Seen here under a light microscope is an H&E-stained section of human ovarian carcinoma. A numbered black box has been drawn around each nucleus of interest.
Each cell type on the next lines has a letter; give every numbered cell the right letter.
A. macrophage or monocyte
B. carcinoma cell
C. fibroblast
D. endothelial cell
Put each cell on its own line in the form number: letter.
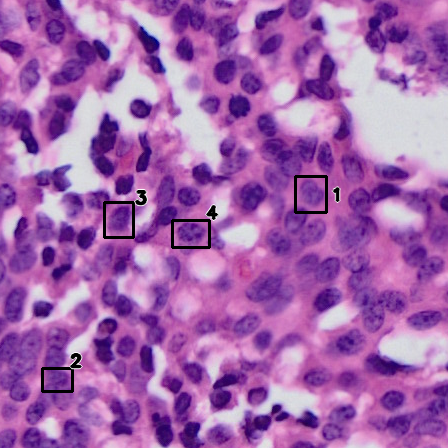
1: B
2: B
3: B
4: A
